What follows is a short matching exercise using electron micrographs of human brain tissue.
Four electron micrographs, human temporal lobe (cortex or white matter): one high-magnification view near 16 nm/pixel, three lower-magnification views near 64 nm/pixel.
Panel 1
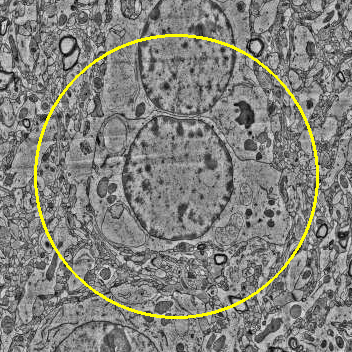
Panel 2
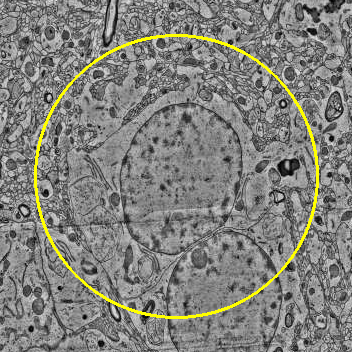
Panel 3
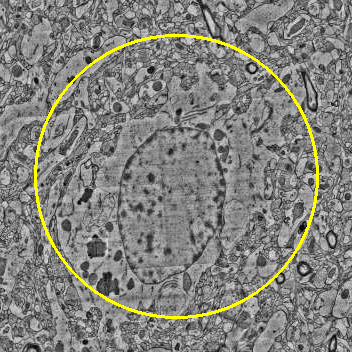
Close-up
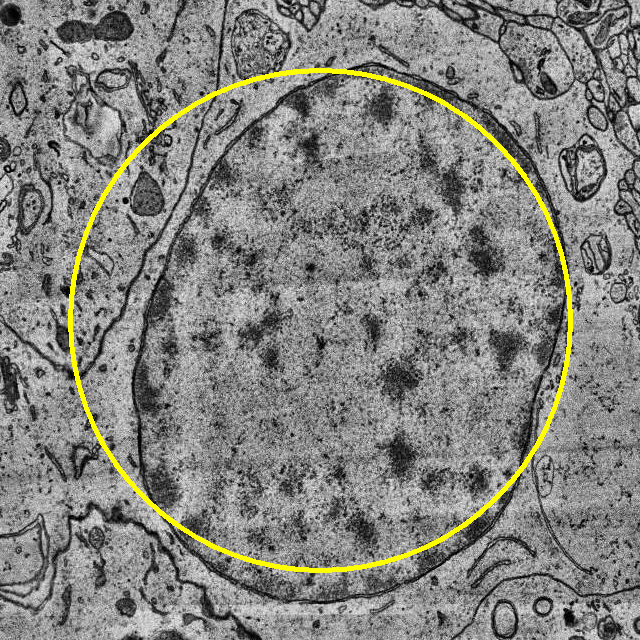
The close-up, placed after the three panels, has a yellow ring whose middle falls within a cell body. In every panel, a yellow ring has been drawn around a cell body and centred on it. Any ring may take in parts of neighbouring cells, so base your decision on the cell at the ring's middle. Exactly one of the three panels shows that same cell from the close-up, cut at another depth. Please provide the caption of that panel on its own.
Panel 2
